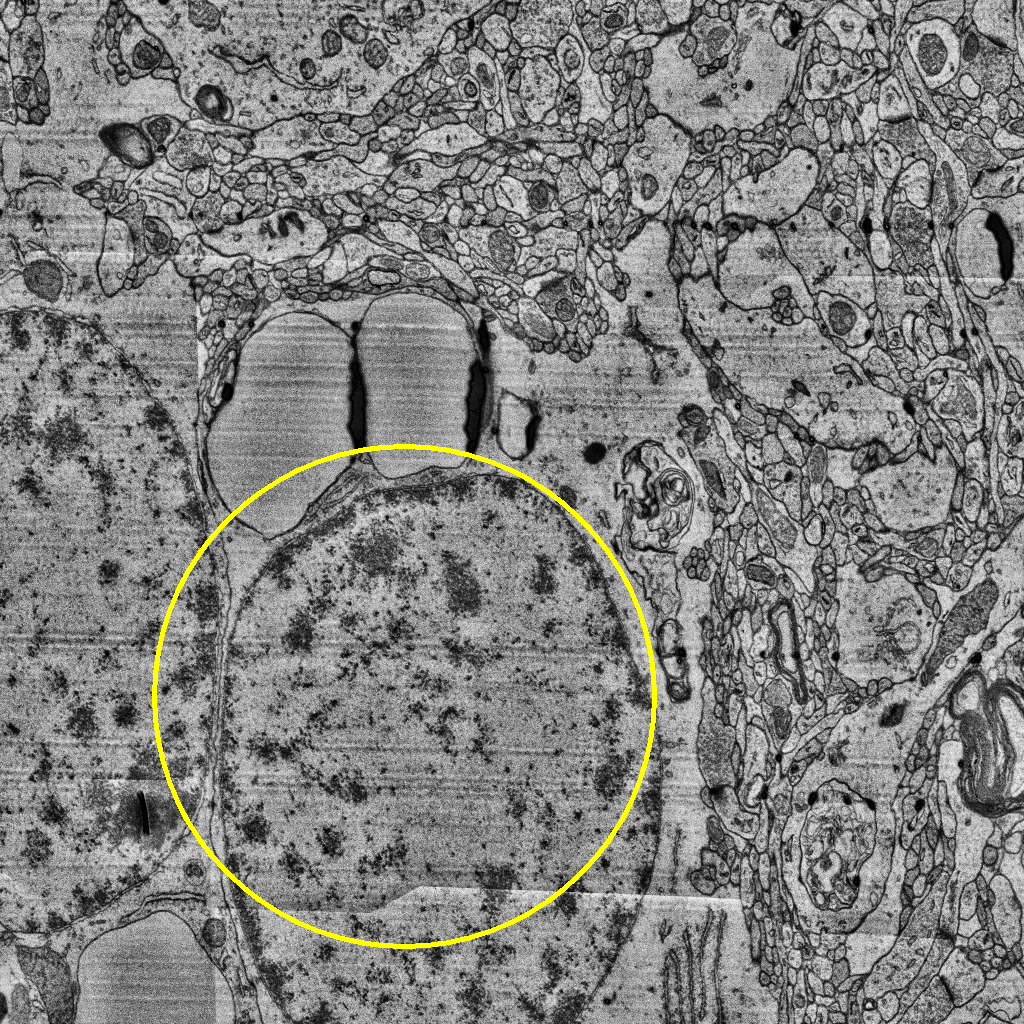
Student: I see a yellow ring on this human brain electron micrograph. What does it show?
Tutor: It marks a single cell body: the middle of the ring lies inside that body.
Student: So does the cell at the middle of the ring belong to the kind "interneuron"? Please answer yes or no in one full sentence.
No, the cell at the middle of the ring is one of another kind.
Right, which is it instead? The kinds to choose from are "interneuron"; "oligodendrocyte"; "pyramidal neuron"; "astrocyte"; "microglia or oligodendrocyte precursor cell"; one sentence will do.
The cell at the ring centre is an astrocyte.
